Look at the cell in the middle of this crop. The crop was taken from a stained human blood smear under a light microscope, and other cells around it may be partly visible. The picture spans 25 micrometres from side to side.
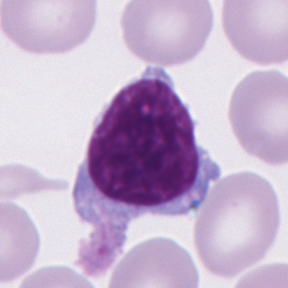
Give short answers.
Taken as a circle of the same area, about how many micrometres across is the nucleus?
10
